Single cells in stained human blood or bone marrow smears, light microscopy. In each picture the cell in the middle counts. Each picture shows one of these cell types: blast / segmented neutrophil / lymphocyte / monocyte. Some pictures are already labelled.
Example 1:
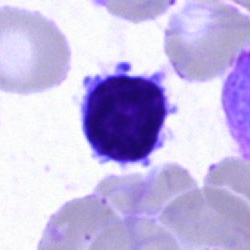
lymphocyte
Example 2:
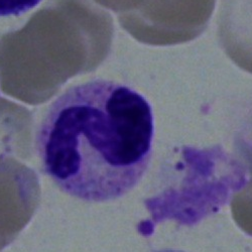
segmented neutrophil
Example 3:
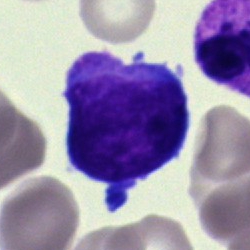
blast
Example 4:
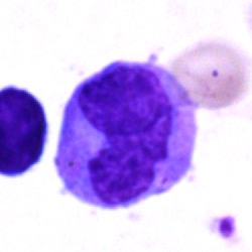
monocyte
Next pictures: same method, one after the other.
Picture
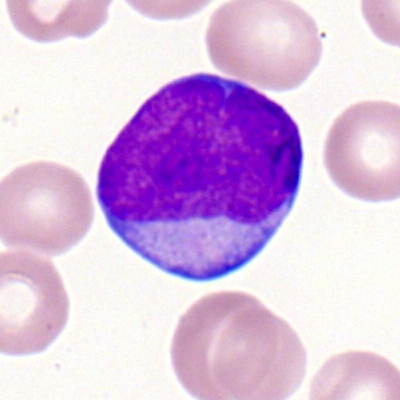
blast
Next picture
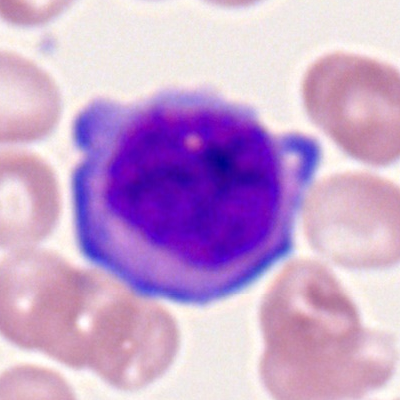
blast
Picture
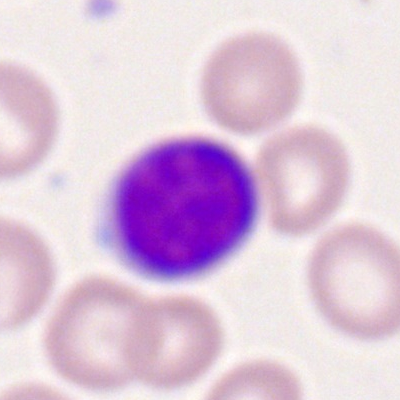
lymphocyte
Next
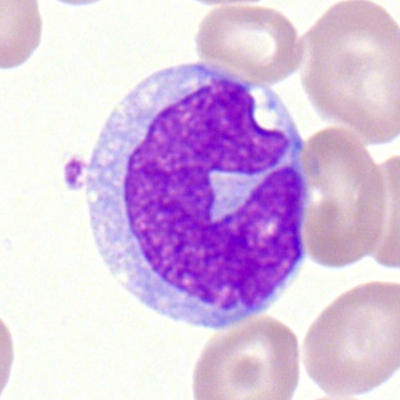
monocyte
